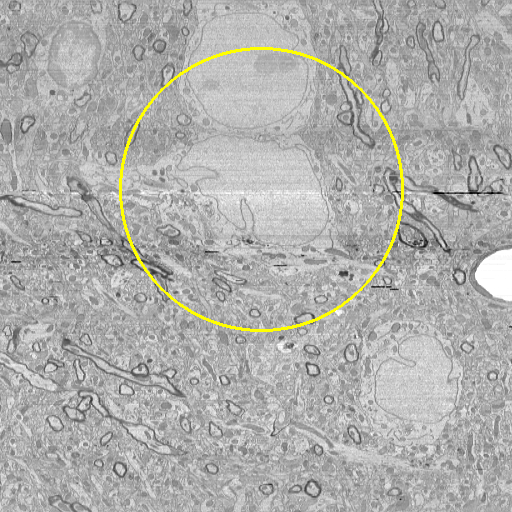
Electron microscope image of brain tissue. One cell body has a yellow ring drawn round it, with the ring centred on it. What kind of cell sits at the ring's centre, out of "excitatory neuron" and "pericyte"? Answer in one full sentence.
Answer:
It is an excitatory neuron whose cell body sits at the centre of the yellow ring.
